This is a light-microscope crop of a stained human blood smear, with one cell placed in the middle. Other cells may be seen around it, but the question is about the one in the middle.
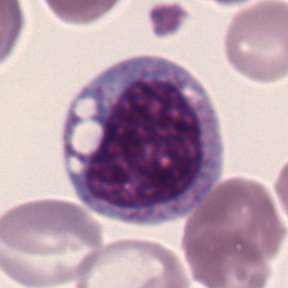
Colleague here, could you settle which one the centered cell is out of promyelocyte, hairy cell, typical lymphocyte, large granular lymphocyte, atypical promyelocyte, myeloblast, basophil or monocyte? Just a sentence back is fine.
In short, the cell at the center is a promyelocyte.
